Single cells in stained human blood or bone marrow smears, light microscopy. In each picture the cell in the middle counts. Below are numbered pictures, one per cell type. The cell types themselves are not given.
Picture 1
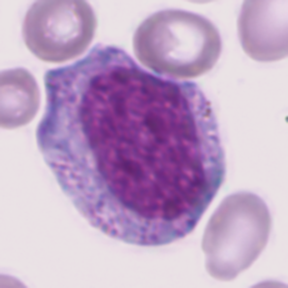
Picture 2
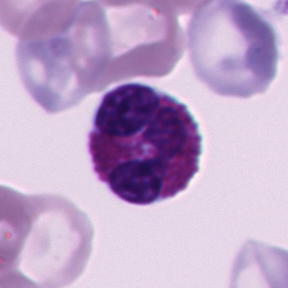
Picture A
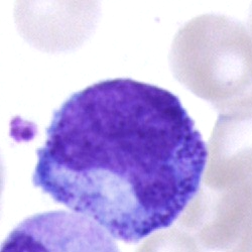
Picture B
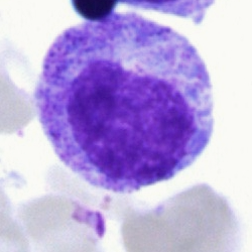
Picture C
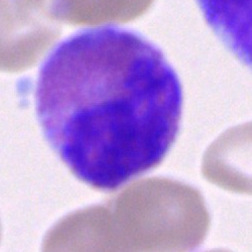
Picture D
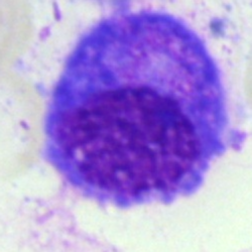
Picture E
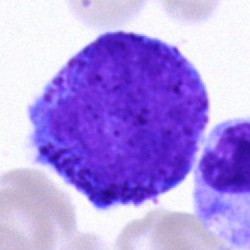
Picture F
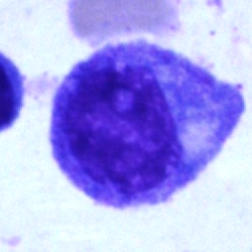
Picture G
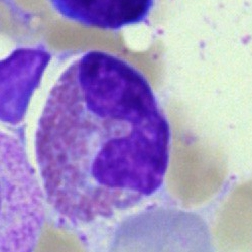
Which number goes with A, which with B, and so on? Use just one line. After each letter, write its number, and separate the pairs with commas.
A 1, B 1, C 2, D 1, E 1, F 1, G 2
